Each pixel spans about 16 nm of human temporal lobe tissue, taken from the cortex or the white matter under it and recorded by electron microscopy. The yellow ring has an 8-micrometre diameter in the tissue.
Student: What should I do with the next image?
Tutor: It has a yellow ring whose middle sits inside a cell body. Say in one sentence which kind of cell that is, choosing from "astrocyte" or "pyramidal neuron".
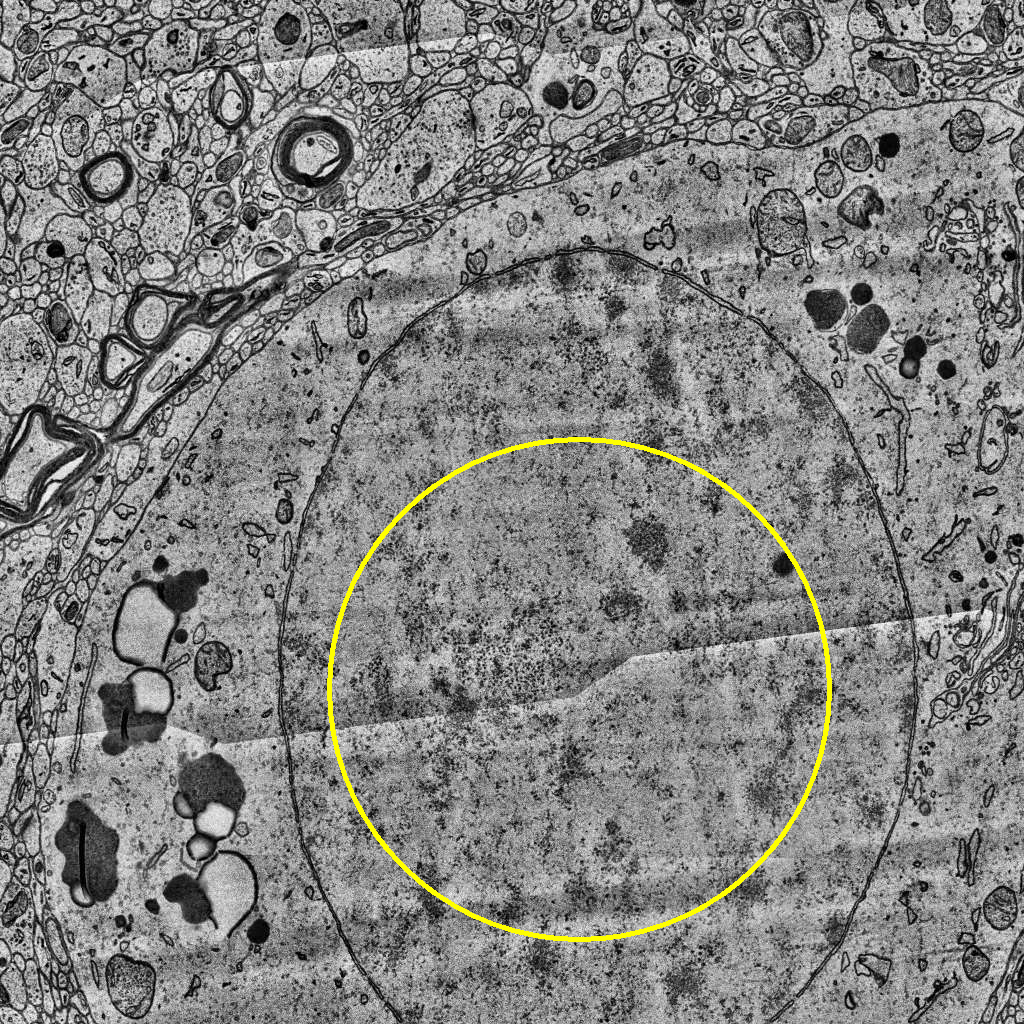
The ring's centre is occupied by a pyramidal neuron.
